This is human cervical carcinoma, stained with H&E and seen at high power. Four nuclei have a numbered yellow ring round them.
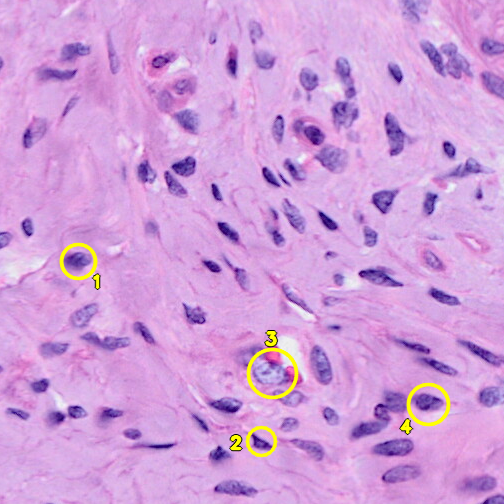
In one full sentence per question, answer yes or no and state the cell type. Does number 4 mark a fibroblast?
Yes, the numbered nucleus 4 is that of a fibroblast.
